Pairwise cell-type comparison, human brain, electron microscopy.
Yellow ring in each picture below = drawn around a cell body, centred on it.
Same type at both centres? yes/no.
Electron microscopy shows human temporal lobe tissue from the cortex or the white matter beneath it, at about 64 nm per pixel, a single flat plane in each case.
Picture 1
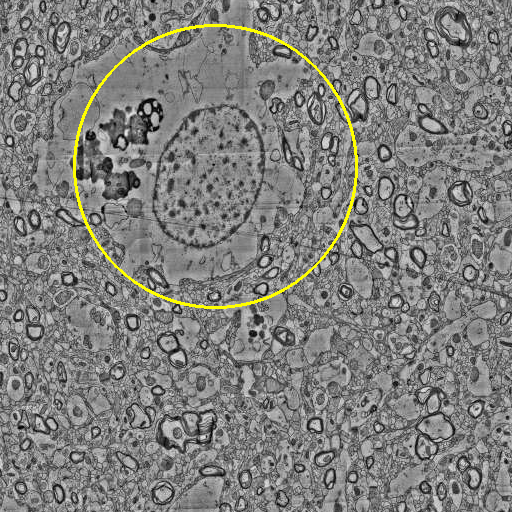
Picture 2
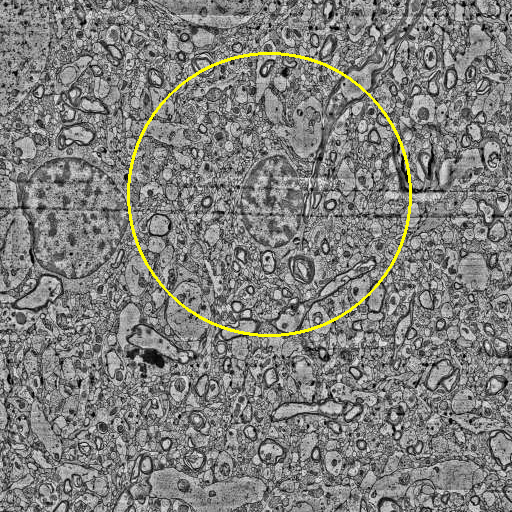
no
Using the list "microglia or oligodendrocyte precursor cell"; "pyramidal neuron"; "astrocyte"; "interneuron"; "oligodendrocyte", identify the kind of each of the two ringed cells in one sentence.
The first is an astrocyte and the second is an oligodendrocyte.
